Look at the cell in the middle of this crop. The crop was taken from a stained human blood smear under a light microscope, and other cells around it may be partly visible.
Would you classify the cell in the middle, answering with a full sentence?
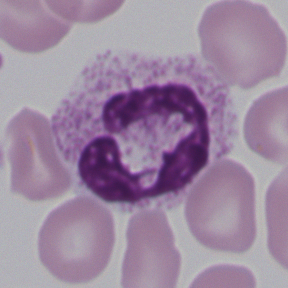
Of the cells in this crop, the central one is a neutrophil.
